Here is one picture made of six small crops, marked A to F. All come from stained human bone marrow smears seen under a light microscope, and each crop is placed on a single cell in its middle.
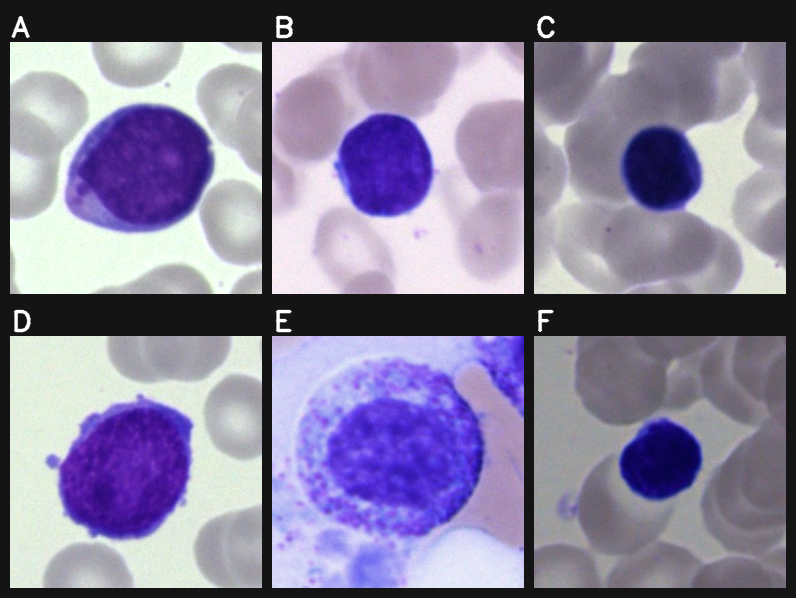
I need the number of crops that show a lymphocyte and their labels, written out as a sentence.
Crops A, B, C and F are the four that show lymphocytes.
